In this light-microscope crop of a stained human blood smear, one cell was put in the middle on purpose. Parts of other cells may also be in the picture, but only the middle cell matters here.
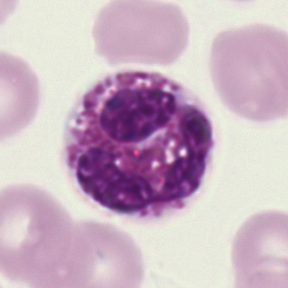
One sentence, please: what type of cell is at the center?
Occupying the centre of the crop is an eosinophil.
